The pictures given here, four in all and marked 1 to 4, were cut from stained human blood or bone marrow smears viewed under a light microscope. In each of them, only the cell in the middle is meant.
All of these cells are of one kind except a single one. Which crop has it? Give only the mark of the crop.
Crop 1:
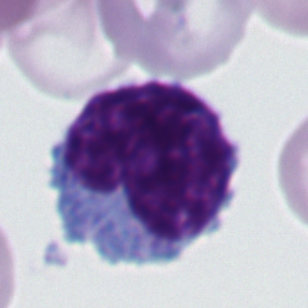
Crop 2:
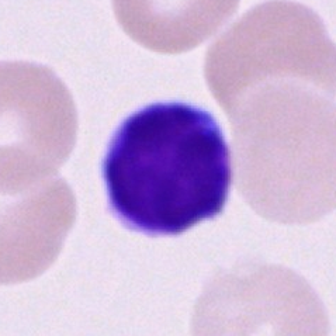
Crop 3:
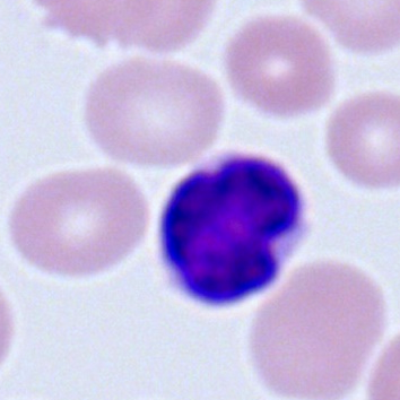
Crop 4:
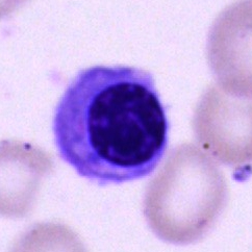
4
